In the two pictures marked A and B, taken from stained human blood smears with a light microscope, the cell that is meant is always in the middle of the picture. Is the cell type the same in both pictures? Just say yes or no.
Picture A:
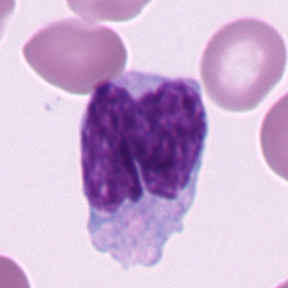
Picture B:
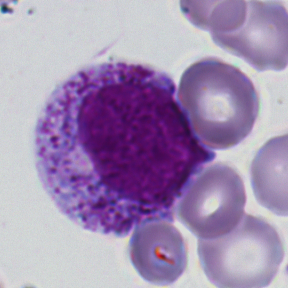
no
